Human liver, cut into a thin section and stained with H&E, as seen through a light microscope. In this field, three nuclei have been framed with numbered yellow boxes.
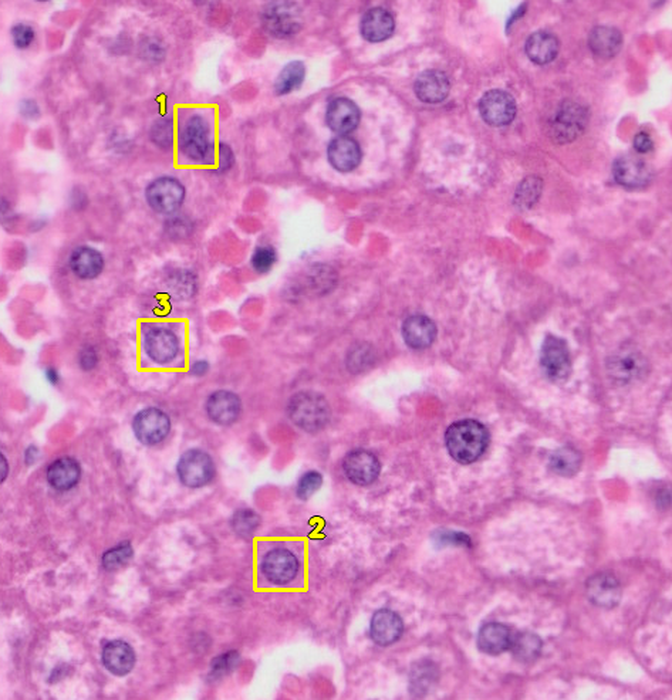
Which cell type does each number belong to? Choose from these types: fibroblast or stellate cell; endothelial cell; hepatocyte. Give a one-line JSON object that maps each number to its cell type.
{"1": "fibroblast or stellate cell", "2": "hepatocyte", "3": "hepatocyte"}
